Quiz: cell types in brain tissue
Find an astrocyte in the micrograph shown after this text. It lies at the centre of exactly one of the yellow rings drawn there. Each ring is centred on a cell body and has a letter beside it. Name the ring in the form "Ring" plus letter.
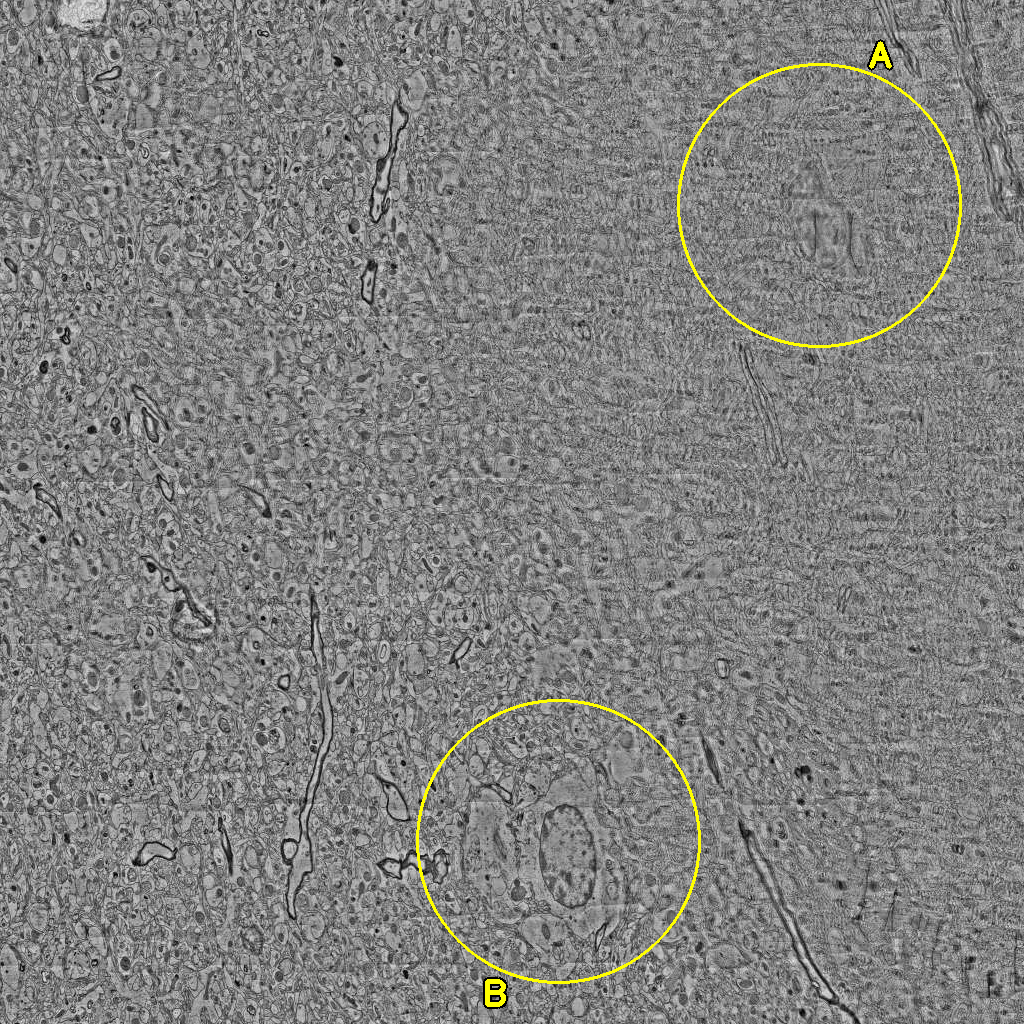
Ring B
